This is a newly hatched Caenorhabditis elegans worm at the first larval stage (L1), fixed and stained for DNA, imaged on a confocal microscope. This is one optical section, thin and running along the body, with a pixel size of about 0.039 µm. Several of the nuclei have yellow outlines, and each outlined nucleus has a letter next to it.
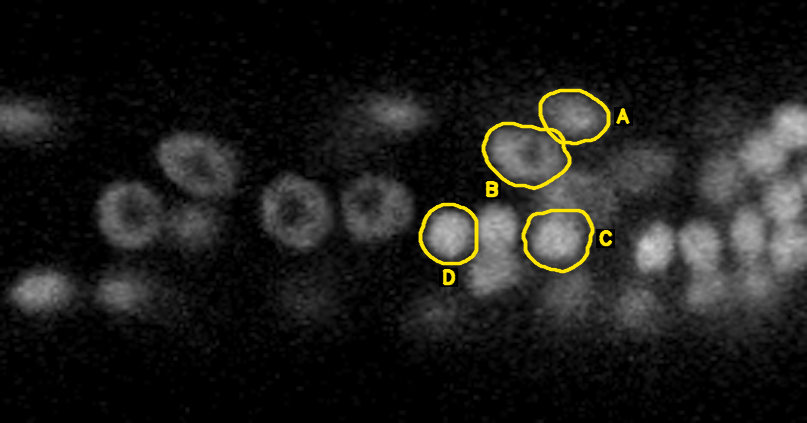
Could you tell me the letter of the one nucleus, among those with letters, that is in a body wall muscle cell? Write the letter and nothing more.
A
